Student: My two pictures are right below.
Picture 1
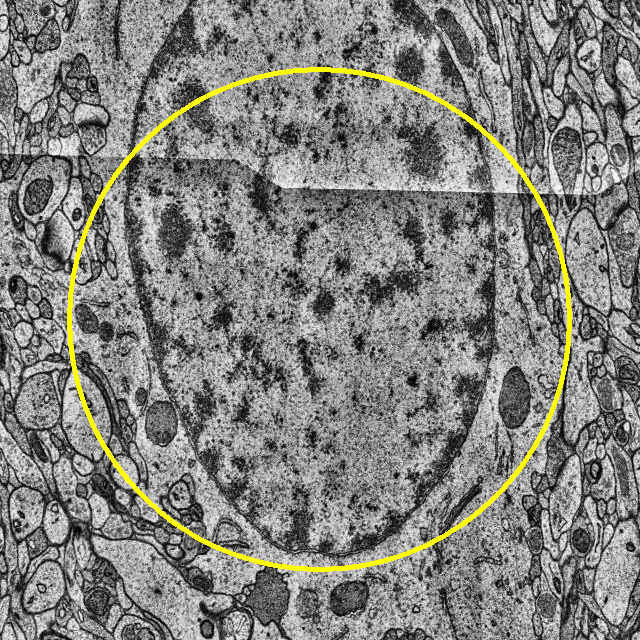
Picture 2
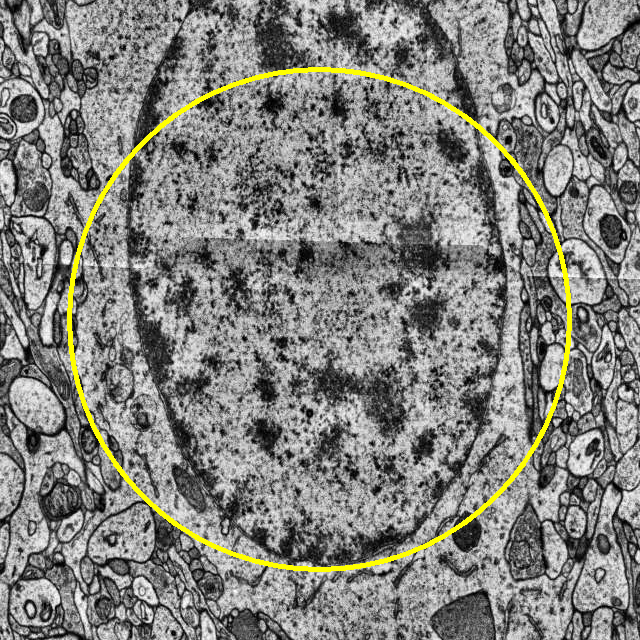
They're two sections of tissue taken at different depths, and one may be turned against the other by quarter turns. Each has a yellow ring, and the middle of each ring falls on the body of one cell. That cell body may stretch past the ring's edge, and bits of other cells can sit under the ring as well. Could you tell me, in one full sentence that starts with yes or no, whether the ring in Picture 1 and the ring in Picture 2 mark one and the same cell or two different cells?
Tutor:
Yes, the cell inside the first ring is the cell inside the second.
